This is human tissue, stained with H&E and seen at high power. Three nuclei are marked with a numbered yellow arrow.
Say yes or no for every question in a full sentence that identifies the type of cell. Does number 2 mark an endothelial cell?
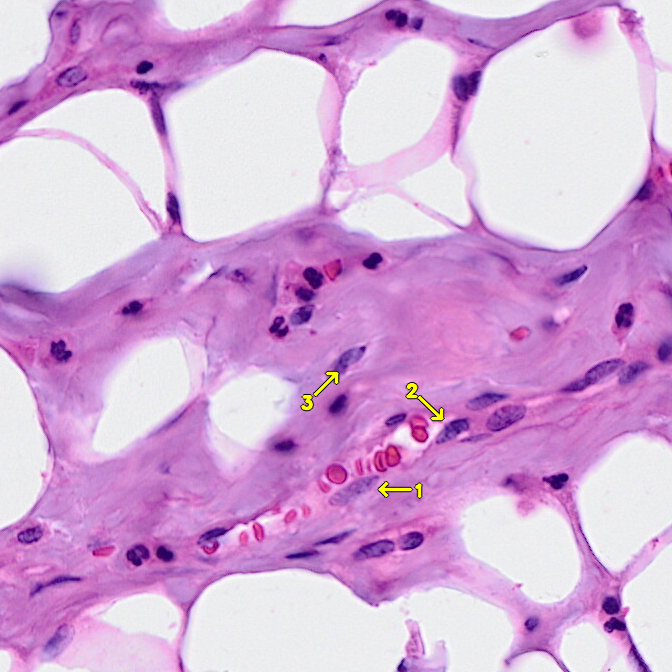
Yes, for number 2, the cell is an endothelial cell.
